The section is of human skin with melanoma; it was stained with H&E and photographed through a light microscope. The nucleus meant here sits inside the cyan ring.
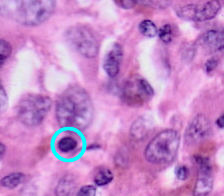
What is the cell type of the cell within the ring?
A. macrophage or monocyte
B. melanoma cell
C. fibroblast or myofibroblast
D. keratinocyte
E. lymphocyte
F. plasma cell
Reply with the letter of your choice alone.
E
